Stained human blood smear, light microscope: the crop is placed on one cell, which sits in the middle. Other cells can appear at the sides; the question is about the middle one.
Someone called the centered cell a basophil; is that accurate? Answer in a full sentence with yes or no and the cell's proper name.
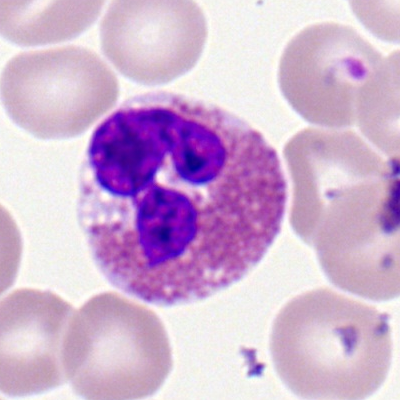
No, the central cell is not to be called a basophil, being an eosinophil.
